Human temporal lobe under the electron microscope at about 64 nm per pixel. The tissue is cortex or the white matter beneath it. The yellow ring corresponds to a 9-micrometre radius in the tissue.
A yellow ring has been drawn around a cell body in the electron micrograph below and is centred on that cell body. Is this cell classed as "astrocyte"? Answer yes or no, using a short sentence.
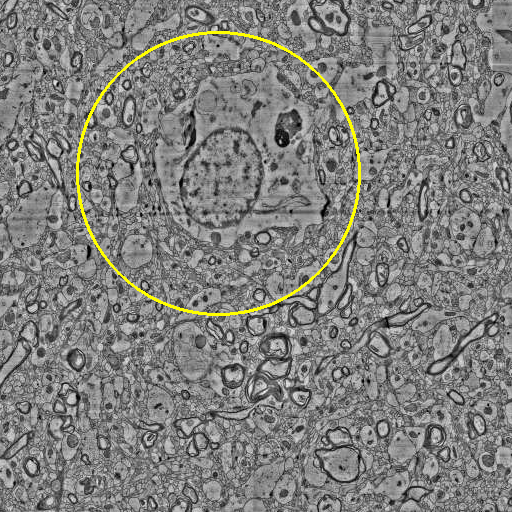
Yes, it is classed as that kind.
